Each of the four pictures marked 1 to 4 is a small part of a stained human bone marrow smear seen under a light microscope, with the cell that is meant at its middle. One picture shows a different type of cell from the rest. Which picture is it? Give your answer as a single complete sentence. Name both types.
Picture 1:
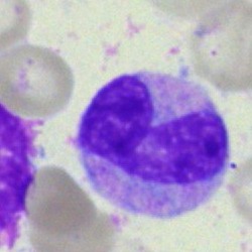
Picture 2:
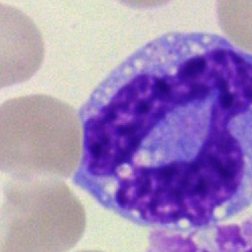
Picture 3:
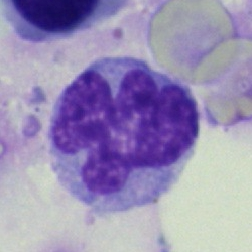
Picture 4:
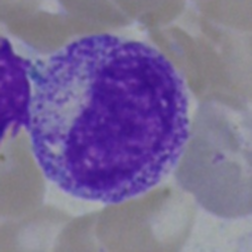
Unlike the rest, which show monocytes, picture 4 shows a myelocyte.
